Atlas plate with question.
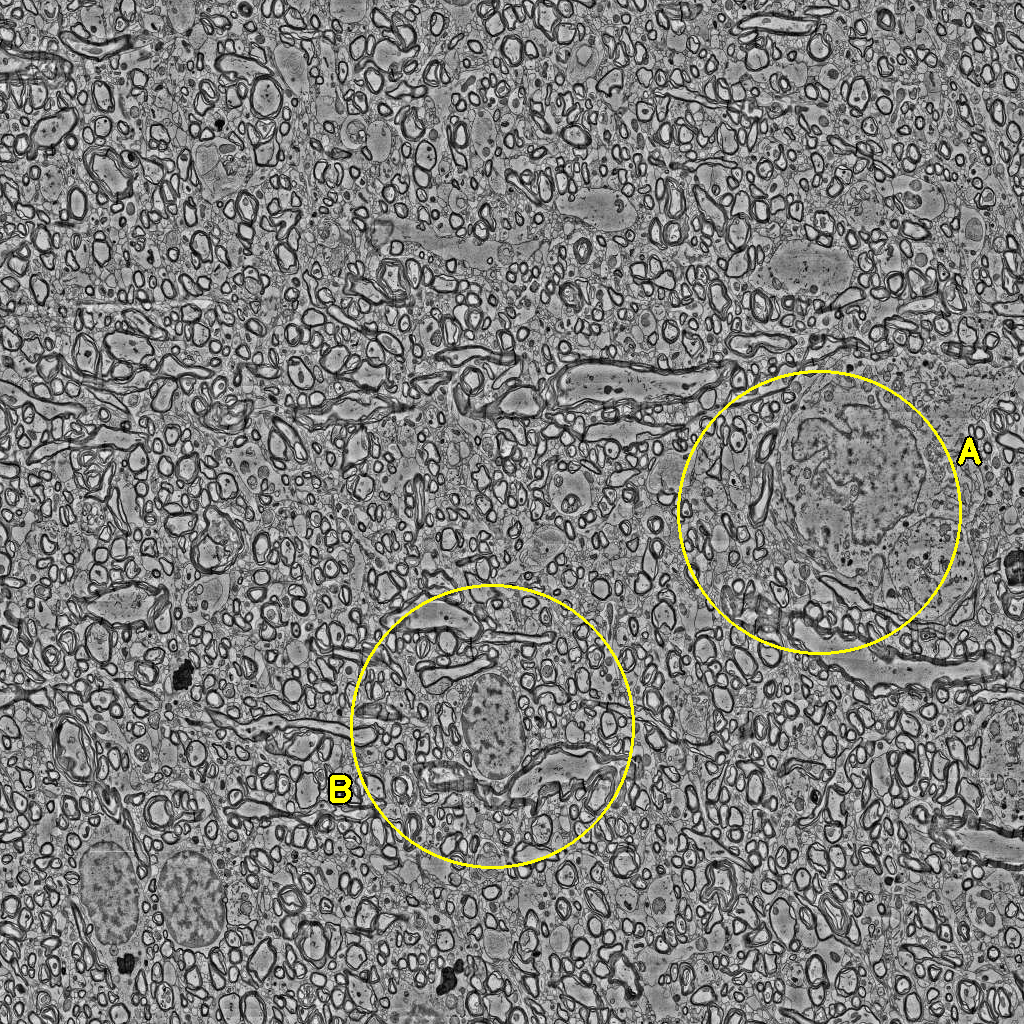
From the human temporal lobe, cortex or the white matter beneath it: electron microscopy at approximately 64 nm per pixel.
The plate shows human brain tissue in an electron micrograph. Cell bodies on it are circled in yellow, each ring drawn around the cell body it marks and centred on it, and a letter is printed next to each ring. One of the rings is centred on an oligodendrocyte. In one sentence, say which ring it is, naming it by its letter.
It is ring A.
